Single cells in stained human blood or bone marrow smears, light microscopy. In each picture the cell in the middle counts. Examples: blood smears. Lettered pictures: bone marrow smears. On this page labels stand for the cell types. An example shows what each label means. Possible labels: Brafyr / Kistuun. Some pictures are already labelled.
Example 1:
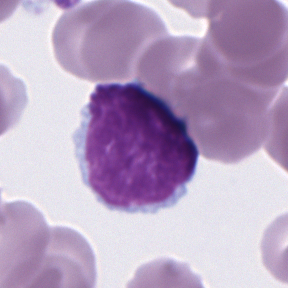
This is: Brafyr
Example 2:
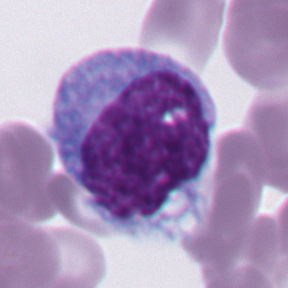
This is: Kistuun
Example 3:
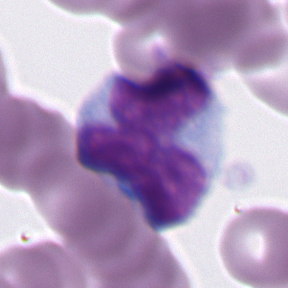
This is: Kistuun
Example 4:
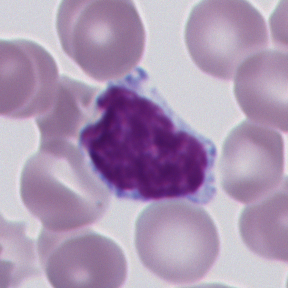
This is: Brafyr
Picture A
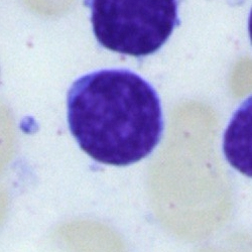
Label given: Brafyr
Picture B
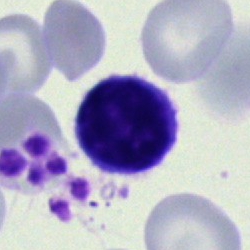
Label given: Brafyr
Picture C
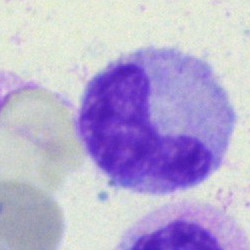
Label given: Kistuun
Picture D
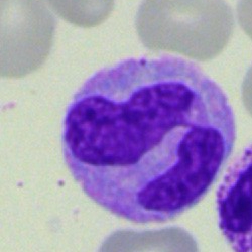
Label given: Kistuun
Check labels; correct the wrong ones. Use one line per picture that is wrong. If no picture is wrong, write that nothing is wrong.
Nothing to fix; every label fits.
